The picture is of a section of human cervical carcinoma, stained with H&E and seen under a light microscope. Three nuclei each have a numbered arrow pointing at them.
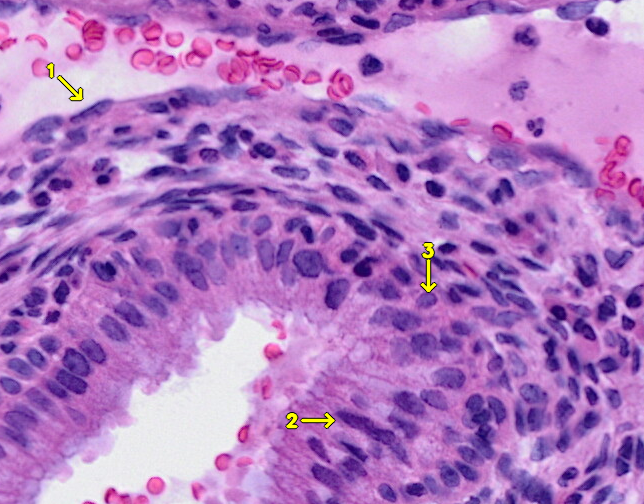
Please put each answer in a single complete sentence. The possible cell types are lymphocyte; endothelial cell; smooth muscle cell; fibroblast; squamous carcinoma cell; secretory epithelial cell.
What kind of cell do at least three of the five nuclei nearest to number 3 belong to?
Most of the five nuclei nearest to number 3 are those of secretory epithelial cells.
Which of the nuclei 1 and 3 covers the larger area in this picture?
Nucleus 1 covers more area, about 2.5 times as much as nucleus 3.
